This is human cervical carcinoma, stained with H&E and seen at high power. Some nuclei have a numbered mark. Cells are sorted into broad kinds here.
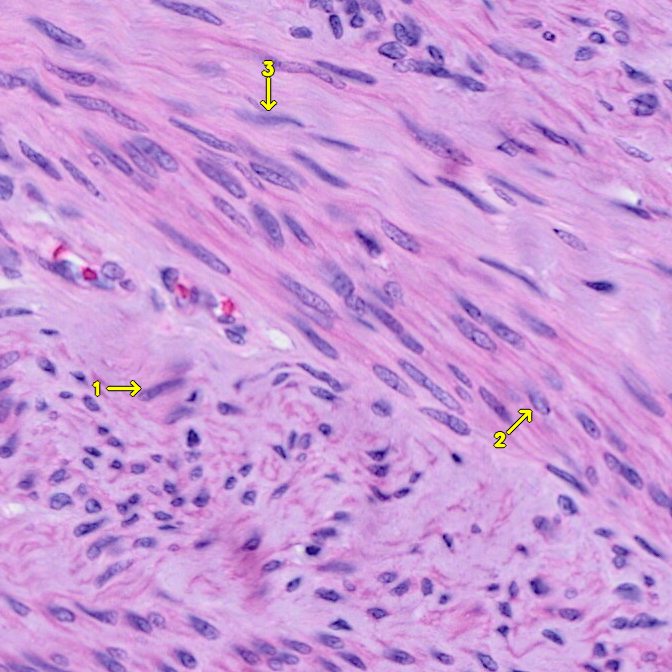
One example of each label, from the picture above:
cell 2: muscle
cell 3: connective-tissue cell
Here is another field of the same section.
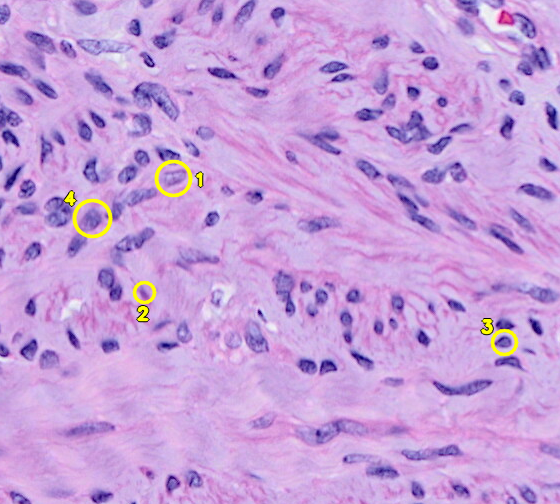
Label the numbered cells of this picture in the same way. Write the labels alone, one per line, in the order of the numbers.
muscle
muscle
connective-tissue cell
muscle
